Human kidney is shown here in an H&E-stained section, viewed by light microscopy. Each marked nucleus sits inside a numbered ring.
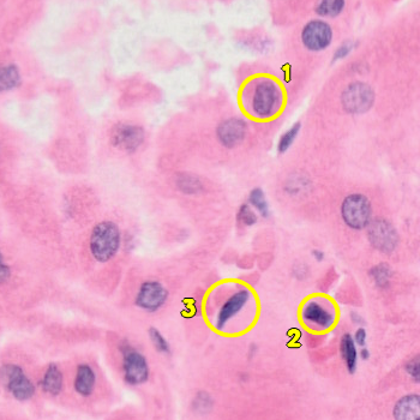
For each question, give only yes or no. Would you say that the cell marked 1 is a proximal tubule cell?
yes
